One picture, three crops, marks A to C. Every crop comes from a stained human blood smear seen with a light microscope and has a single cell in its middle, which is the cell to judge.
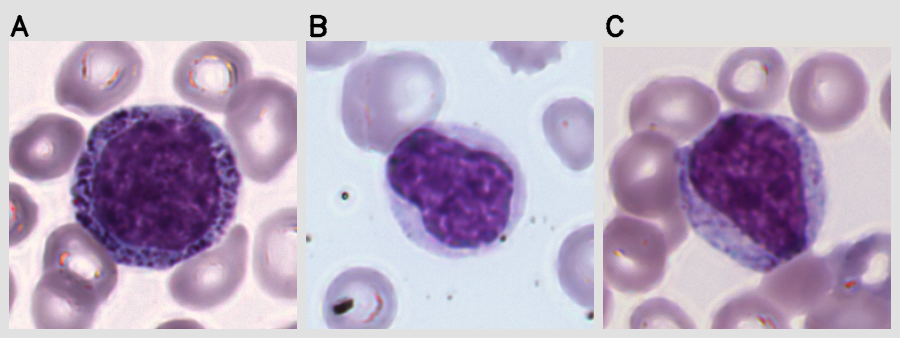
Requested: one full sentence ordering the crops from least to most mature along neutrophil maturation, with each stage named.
Ordered least to most mature, the series reads crop A (a promyelocyte), crop C (a myelocyte) and crop B (a metamyelocyte).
